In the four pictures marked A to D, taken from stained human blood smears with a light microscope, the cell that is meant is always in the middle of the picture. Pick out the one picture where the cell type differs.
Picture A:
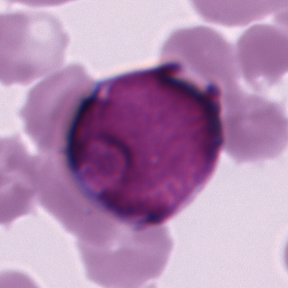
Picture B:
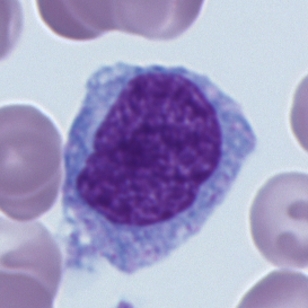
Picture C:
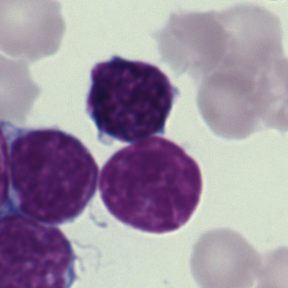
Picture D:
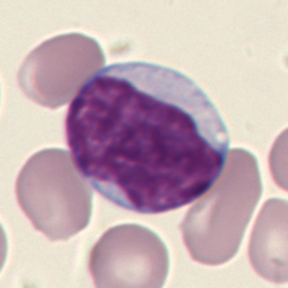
B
